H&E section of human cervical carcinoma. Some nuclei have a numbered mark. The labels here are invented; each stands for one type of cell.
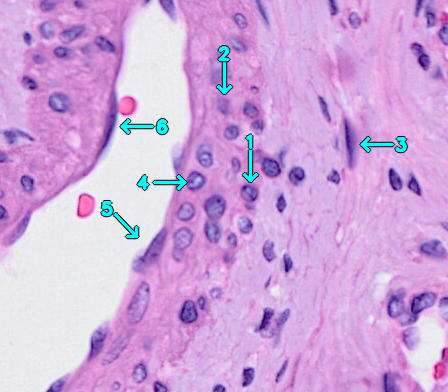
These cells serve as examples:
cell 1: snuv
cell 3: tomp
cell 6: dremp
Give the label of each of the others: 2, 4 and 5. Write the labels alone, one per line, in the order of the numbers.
snuv
snuv
dremp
